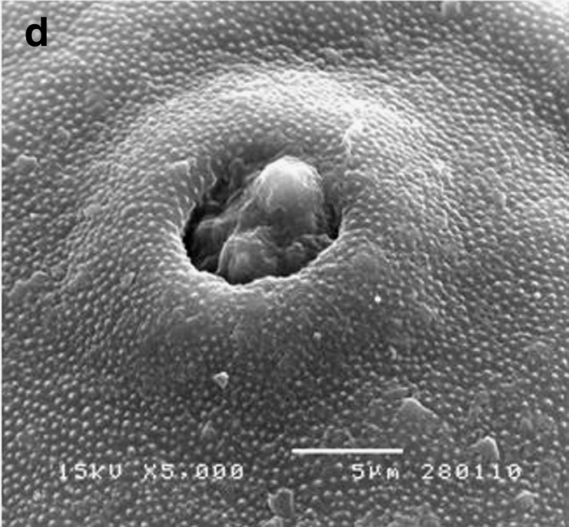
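Outer wall of a pollen grain at high magnification with a single germination pore: a roughly round opening set in a slightly raised ring, with material visible inside it. The surrounding exine is evenly covered with fine, densely packed granules, and little debris lies on it.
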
